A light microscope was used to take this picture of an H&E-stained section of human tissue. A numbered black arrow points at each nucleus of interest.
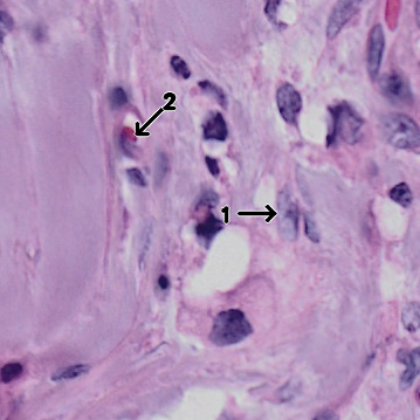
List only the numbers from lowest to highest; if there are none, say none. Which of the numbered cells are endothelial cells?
2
